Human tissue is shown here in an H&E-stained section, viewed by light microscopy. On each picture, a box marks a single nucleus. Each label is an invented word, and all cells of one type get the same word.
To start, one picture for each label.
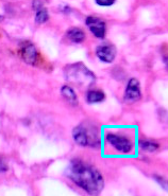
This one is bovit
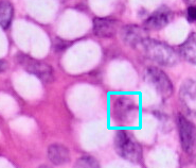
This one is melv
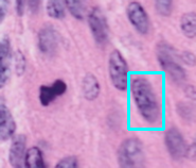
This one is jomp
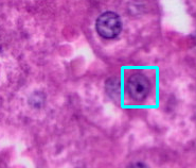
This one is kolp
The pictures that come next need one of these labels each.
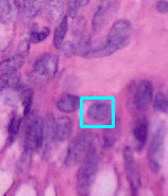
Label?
melv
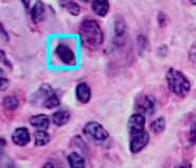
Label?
bovit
